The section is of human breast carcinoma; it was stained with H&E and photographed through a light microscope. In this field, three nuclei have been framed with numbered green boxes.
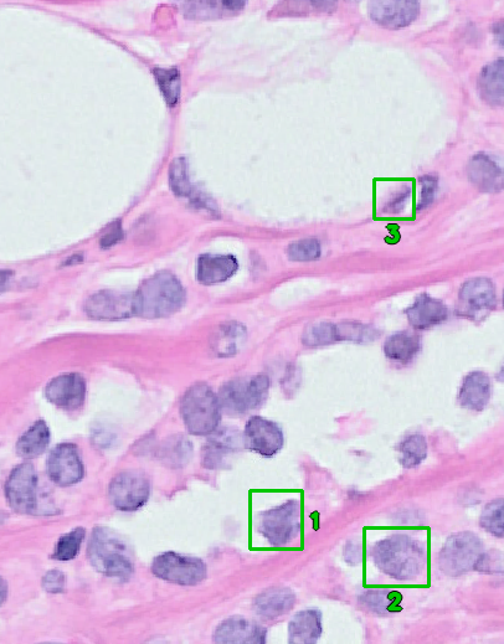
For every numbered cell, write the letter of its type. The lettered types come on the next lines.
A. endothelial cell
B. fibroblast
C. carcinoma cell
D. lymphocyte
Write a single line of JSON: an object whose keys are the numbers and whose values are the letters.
{"1": "C", "2": "C", "3": "A"}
